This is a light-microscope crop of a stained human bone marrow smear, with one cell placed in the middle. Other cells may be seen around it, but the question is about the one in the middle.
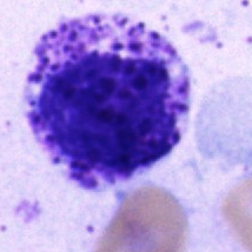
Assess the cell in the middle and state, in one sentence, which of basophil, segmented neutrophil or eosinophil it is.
The target cell in the middle of the crop is a basophil.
